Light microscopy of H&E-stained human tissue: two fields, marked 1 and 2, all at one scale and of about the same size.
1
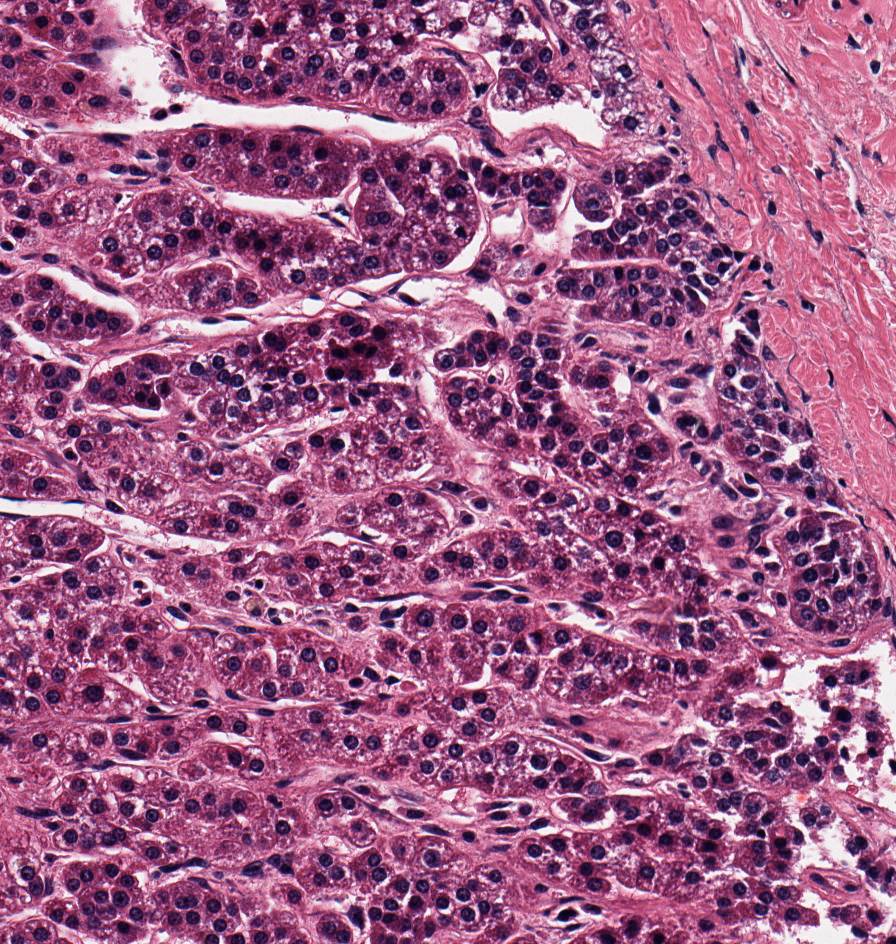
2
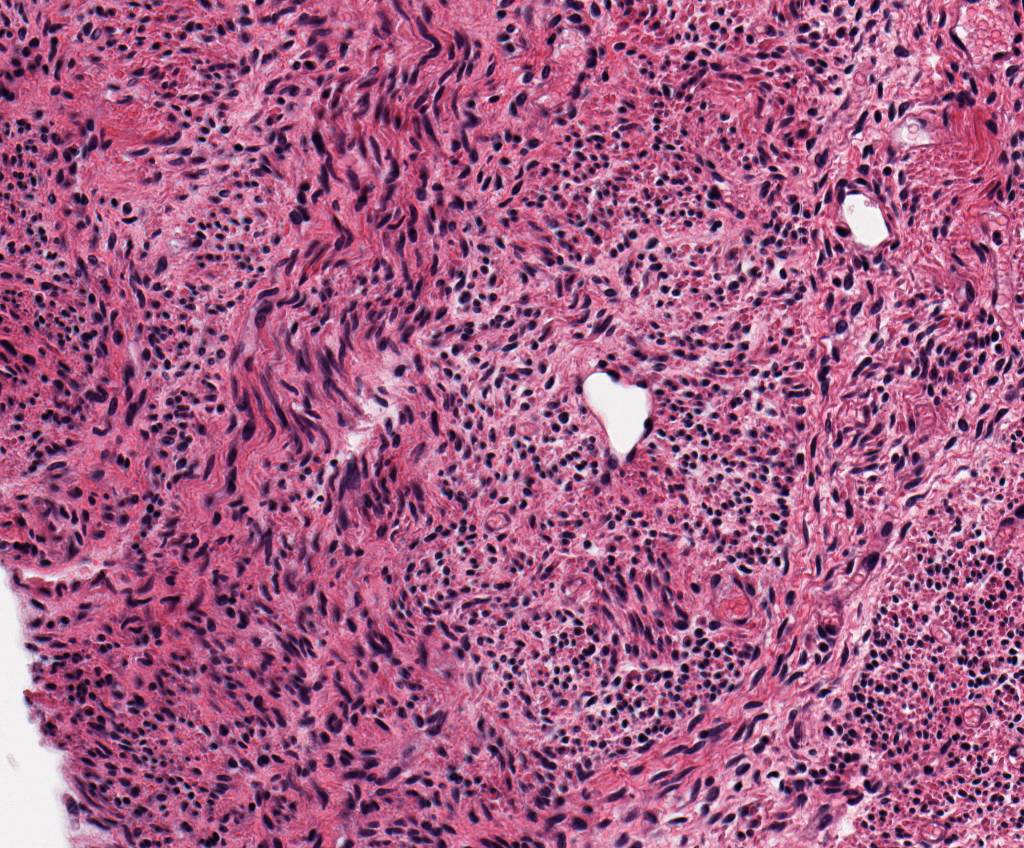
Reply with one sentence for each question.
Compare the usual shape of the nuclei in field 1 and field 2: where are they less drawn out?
On the whole the nuclei of field 1 are rounder than those of field 2.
